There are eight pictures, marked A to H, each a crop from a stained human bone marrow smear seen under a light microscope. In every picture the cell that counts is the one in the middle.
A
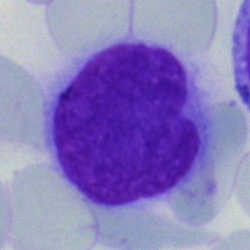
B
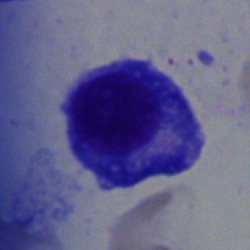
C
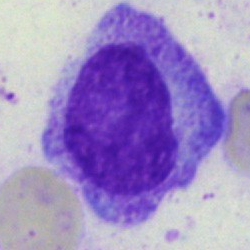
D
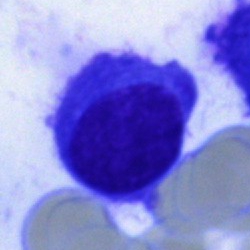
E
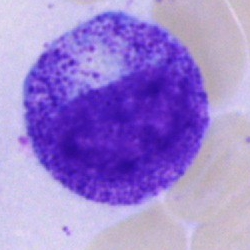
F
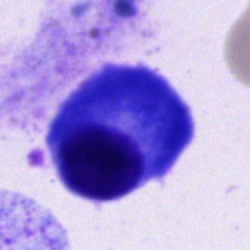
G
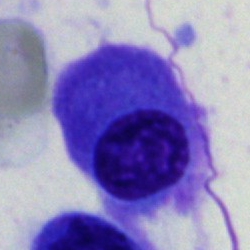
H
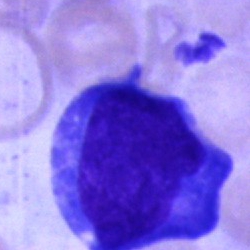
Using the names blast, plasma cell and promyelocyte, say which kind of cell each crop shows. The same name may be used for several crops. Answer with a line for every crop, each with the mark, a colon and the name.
A: blast
B: plasma cell
C: promyelocyte
D: plasma cell
E: promyelocyte
F: plasma cell
G: plasma cell
H: blast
